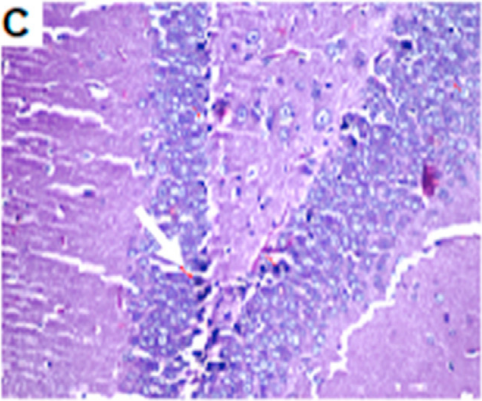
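Hippocampal dentate region in section, with bands of densely packed granule neurons. Within the bands a few cells appear small and darkly stained, with condensed nuclei, standing out among the paler, rounder nuclei. Small blood vessels lie in the neuropil and between the bands.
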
